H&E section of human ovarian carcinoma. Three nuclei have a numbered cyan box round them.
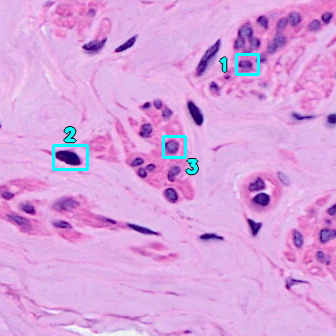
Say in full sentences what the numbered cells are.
Cells 1 and 3 are smooth muscle cells. Cell 2 is a lymphocyte.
